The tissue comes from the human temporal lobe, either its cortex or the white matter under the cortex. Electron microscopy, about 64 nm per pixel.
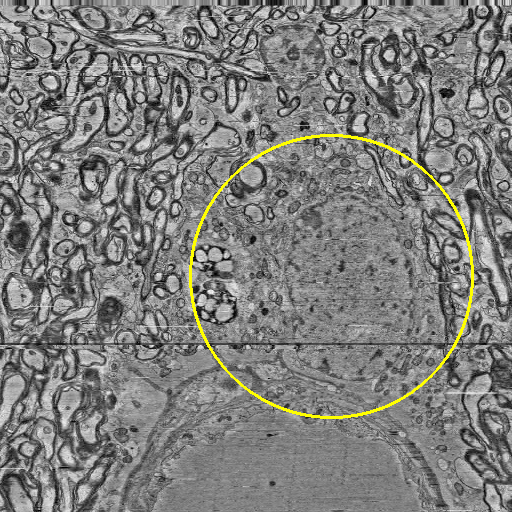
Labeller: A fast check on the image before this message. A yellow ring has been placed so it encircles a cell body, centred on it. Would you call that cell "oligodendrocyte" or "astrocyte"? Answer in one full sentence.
In this image, an astrocyte is the cell on which the yellow ring is centred.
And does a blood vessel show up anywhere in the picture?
Yes, a blood vessel is present in this picture.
